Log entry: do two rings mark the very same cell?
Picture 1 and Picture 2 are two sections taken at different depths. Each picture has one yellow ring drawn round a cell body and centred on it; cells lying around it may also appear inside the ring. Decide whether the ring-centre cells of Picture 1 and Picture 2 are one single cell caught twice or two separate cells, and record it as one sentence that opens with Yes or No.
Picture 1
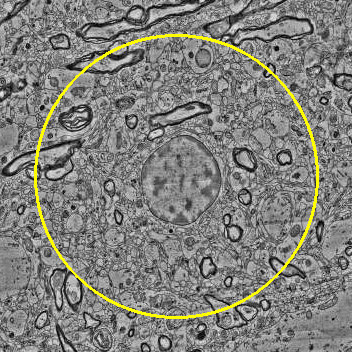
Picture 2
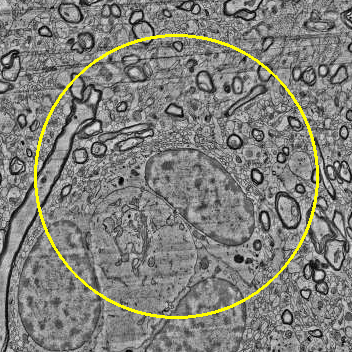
No, a different cell sits inside each of the two rings.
